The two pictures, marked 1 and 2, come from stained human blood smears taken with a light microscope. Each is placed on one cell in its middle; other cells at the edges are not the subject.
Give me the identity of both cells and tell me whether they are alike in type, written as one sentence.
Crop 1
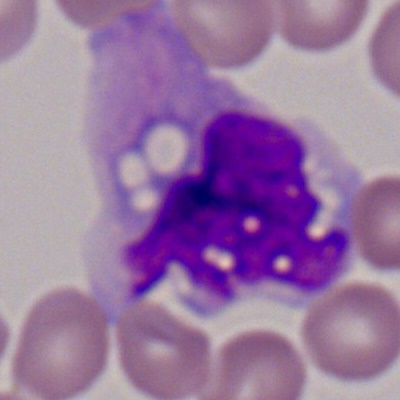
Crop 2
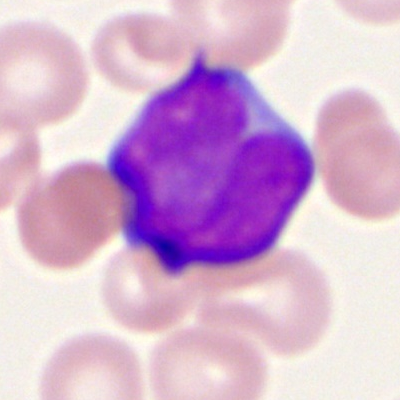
No, mark crop 1 as a monocyte and crop 2 as a blast.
